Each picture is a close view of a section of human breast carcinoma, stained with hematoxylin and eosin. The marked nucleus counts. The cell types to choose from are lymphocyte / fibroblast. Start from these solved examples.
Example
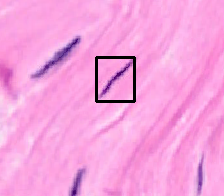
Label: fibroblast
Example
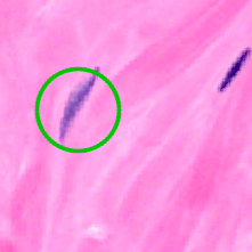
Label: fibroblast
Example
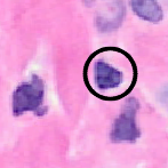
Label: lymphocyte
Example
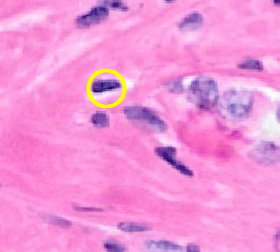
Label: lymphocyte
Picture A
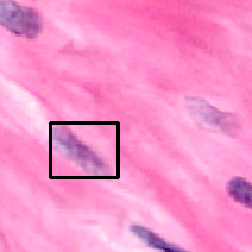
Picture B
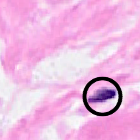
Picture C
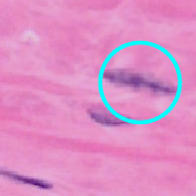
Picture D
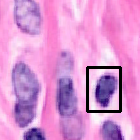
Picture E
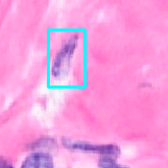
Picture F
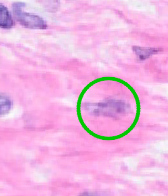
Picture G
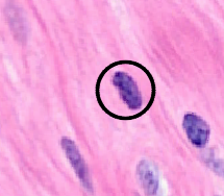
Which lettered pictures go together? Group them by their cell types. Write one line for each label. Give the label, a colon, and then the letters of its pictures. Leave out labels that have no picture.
lymphocyte: D, G
fibroblast: A, B, C, E, F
